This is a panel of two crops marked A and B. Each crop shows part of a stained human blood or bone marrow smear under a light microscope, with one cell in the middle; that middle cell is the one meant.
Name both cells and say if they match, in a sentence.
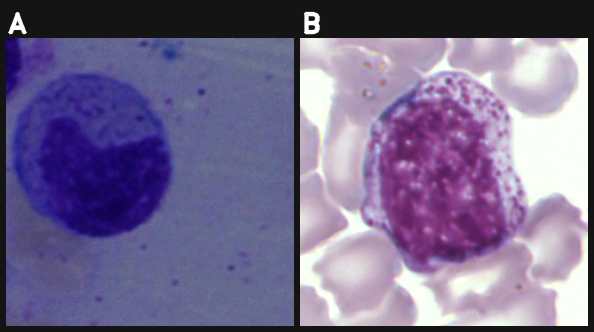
No, crop A depicts a metamyelocyte, and crop B depicts a myelocyte.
